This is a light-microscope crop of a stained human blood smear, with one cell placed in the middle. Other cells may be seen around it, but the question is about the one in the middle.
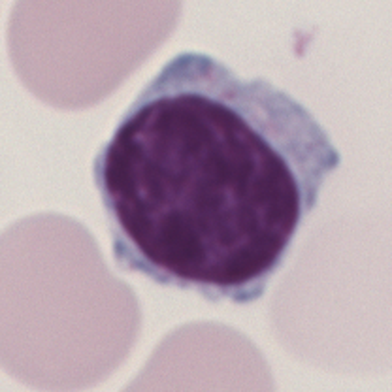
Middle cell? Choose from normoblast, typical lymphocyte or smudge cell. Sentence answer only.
In the center of this field lies a typical lymphocyte.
